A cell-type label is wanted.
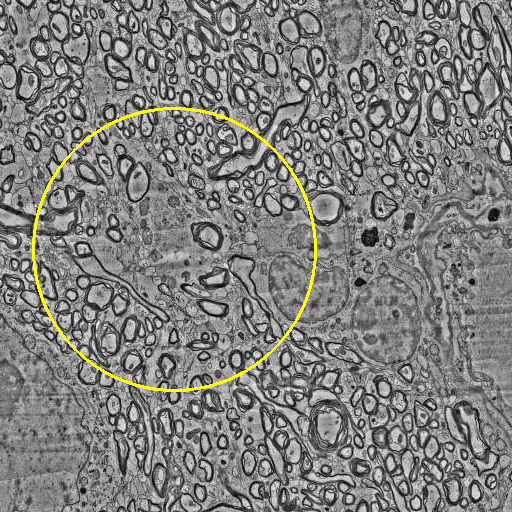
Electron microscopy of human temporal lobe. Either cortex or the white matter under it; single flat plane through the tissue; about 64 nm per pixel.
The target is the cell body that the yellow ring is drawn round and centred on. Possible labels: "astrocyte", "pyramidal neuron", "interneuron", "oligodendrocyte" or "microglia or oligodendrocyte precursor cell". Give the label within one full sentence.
Of the labels offered, the cell in the middle of the yellow ring is an oligodendrocyte.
